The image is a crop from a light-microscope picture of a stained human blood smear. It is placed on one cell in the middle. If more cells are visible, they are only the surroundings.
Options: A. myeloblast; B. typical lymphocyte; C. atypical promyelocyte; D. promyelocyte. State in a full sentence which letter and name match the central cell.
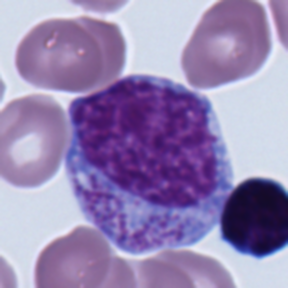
The cell occupying the centre is a promyelocyte; option D is thus the correct choice.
